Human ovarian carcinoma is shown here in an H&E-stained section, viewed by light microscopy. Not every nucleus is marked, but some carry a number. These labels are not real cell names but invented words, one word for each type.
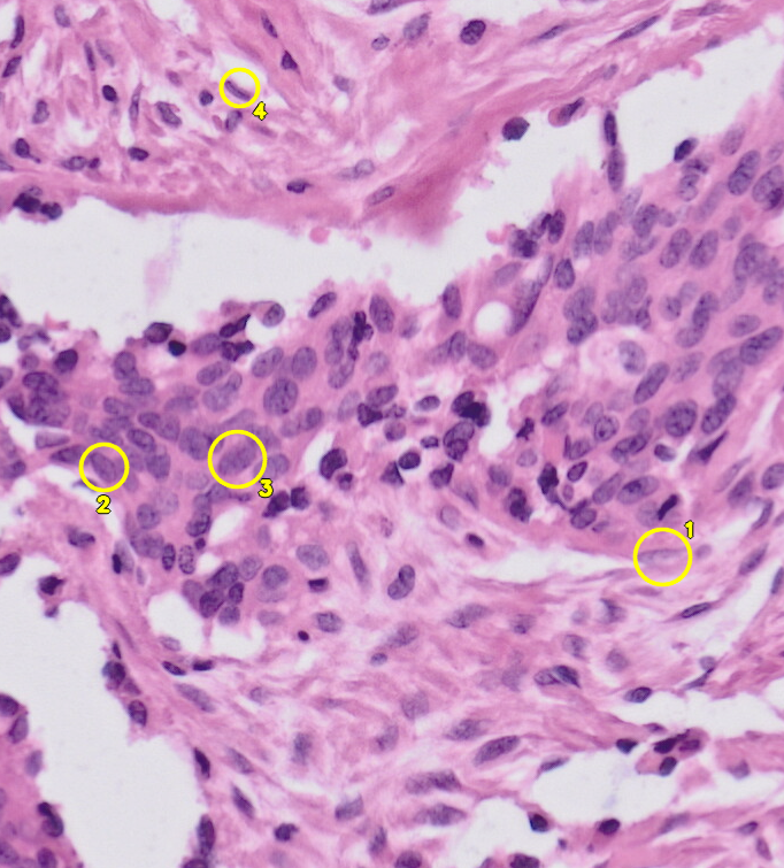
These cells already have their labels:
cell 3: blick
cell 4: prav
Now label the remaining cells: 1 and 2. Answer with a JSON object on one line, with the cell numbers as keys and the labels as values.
{"1": "prav", "2": "blick"}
